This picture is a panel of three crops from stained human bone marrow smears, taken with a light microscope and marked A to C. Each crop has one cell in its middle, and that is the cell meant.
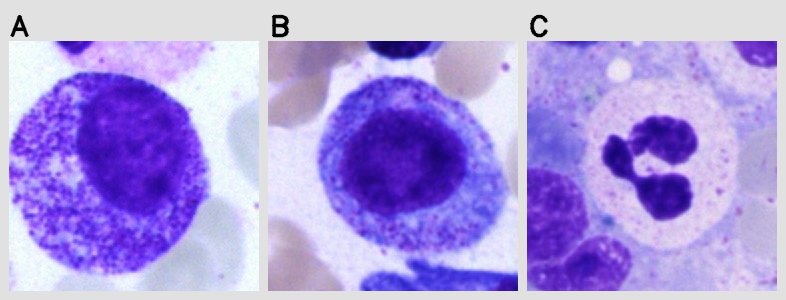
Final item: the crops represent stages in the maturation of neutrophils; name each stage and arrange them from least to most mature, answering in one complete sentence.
What results from ordering by maturity, least to most, is crop B (a promyelocyte), crop A (a myelocyte) and crop C (a segmented neutrophil).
